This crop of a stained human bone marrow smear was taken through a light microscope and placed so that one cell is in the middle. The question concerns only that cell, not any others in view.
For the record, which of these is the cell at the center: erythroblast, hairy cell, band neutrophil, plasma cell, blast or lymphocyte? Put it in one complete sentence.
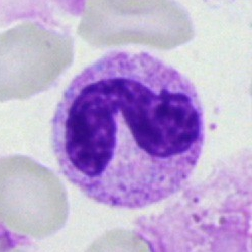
For this crop, the cell in the middle is a band neutrophil.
